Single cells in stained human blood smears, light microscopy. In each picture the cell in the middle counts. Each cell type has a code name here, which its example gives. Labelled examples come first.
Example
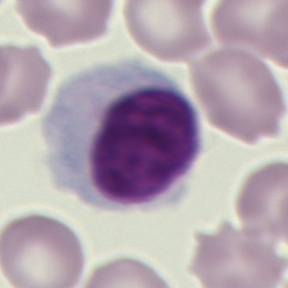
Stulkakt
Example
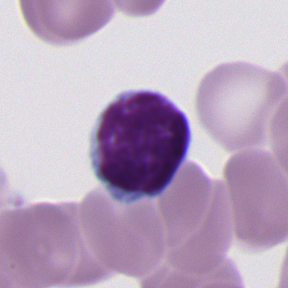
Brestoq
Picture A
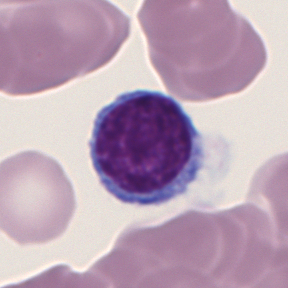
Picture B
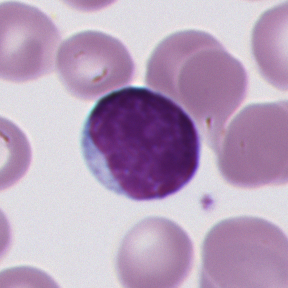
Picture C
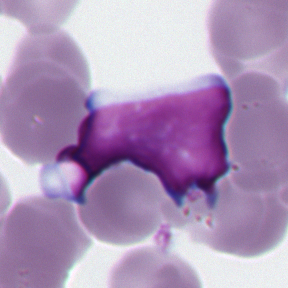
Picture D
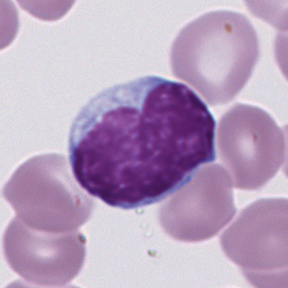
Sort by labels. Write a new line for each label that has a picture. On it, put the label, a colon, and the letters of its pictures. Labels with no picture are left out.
Brestoq: A, B, C, D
